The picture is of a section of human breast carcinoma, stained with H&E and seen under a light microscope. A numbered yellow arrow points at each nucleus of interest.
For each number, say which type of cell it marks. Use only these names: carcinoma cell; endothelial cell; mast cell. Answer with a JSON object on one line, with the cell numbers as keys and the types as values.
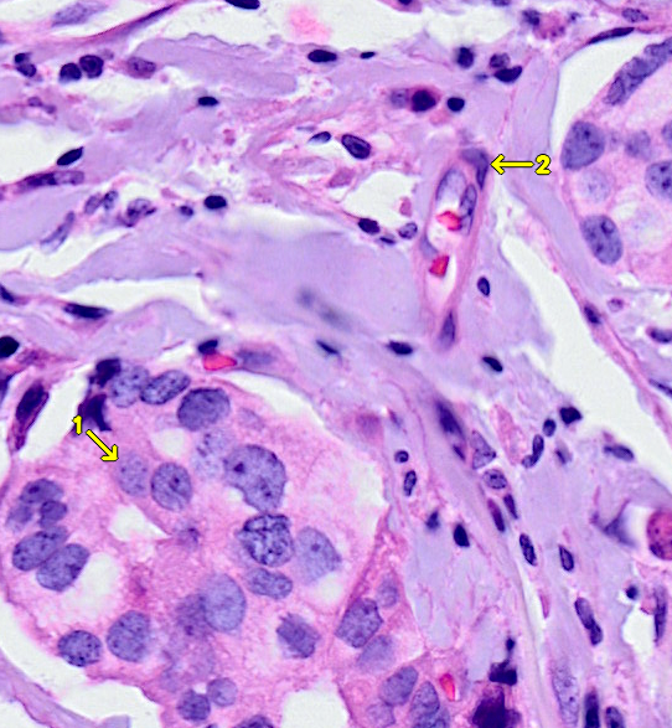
{"1": "carcinoma cell", "2": "endothelial cell"}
